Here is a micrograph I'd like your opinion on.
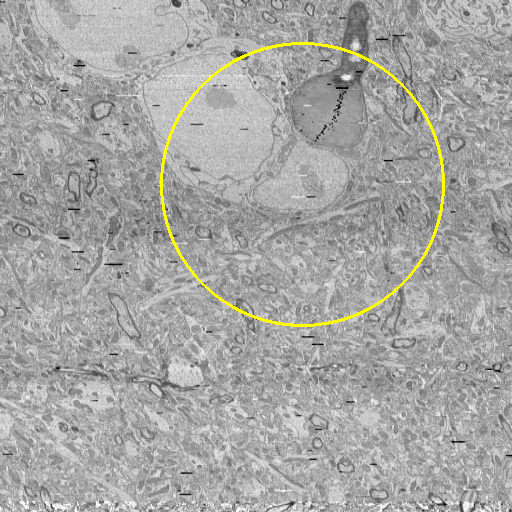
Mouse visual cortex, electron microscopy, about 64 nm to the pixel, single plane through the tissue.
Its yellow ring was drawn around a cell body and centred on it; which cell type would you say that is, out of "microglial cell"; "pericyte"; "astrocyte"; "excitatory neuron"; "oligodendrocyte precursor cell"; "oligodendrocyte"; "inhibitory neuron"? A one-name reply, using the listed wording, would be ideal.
oligodendrocyte precursor cell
